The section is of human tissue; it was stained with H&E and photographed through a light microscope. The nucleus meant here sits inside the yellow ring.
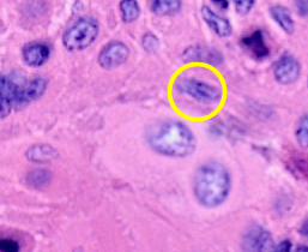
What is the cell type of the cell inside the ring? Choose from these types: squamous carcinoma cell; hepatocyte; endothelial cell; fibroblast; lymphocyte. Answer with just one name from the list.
squamous carcinoma cell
